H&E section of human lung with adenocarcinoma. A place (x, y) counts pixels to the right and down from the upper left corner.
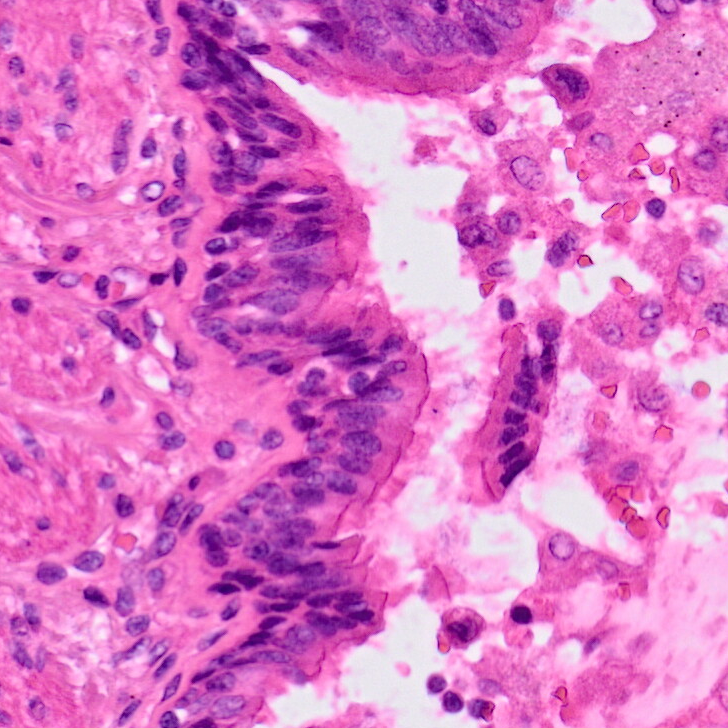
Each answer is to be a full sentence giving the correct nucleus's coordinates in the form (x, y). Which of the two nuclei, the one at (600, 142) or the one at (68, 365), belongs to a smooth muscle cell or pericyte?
The nucleus at (68, 365) is the member of the pair belonging to a smooth muscle cell or pericyte.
